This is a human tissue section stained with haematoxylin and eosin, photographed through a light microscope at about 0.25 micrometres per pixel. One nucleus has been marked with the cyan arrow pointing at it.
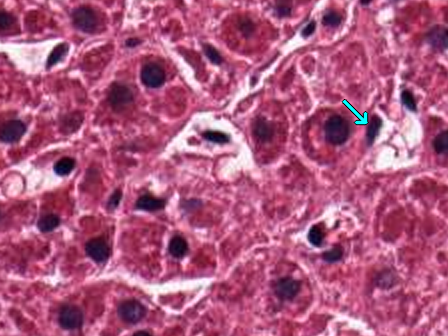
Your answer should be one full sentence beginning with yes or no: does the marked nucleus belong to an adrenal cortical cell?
No, the marked nucleus belongs to a supporting cell of connective tissue, a vessel or the immune system, not to an adrenal cortical cell.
